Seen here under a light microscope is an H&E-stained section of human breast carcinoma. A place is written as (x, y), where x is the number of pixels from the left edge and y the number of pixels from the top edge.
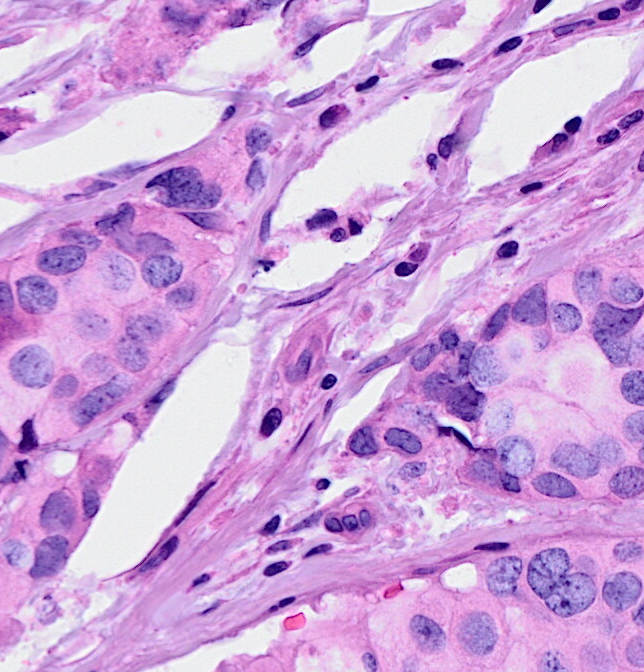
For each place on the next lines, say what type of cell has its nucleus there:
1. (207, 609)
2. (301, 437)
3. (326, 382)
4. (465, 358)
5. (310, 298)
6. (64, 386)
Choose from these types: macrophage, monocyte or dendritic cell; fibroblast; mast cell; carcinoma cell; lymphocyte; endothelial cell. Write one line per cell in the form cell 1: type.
cell 1: fibroblast
cell 2: fibroblast
cell 3: lymphocyte
cell 4: carcinoma cell
cell 5: fibroblast
cell 6: carcinoma cell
